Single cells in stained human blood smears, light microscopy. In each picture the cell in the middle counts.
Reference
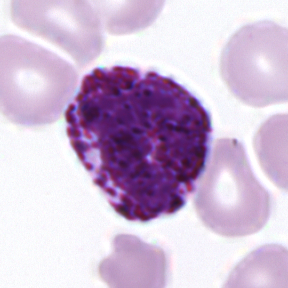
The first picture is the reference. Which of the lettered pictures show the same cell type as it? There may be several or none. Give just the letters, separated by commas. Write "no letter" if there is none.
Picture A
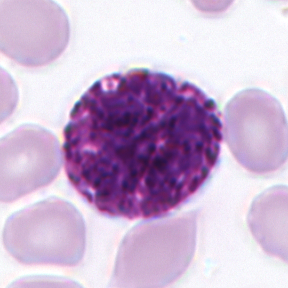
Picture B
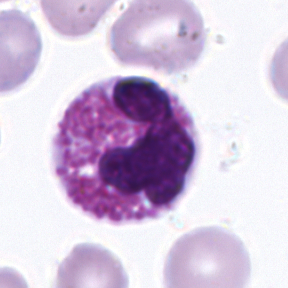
A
